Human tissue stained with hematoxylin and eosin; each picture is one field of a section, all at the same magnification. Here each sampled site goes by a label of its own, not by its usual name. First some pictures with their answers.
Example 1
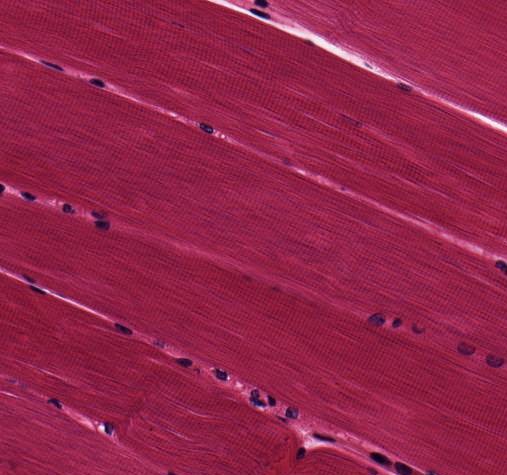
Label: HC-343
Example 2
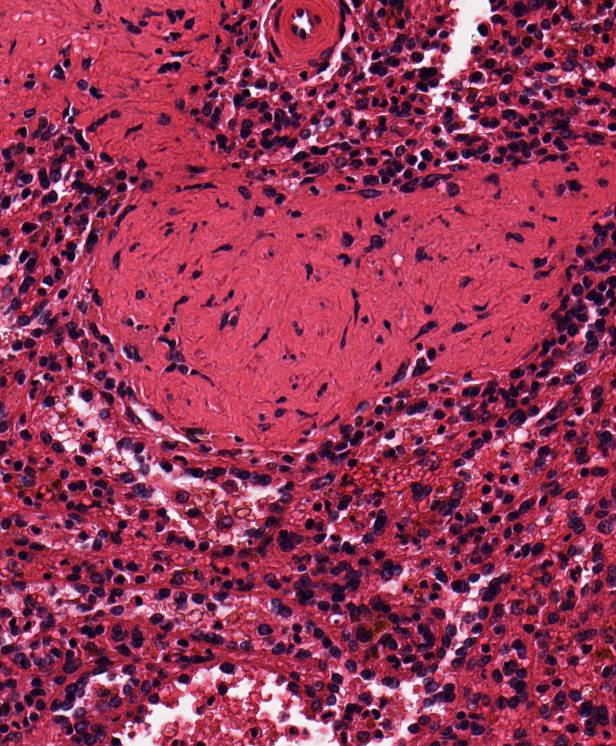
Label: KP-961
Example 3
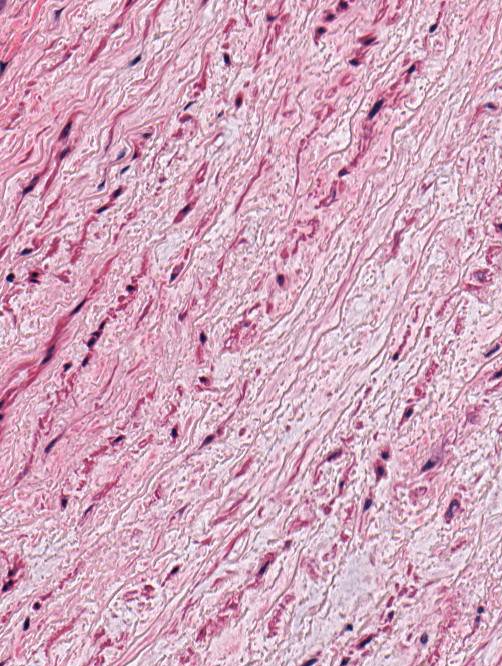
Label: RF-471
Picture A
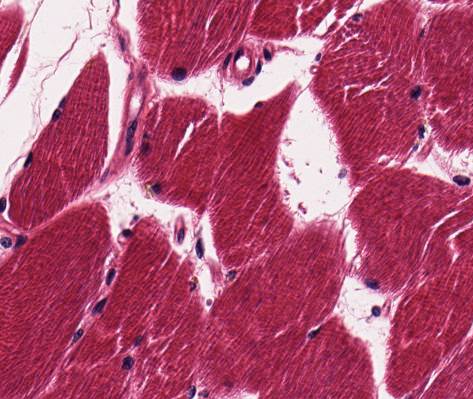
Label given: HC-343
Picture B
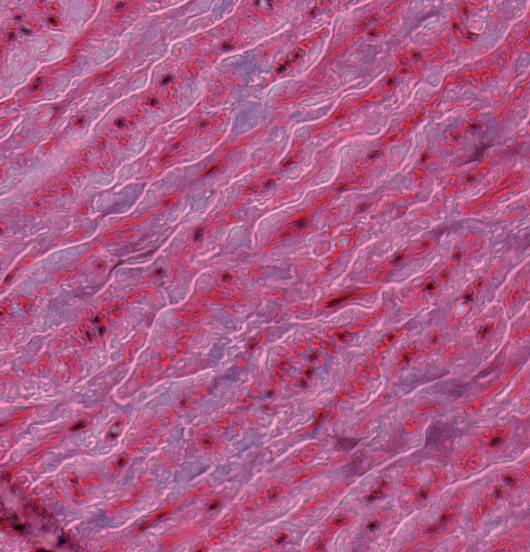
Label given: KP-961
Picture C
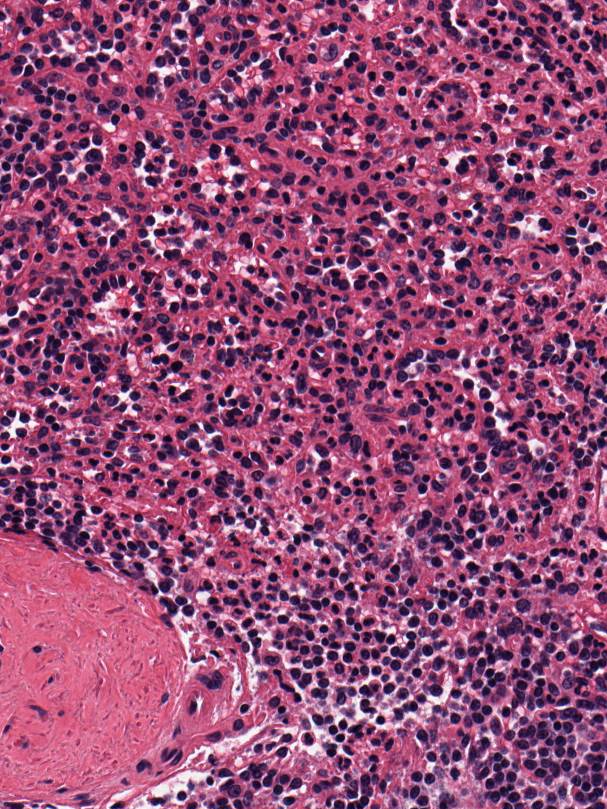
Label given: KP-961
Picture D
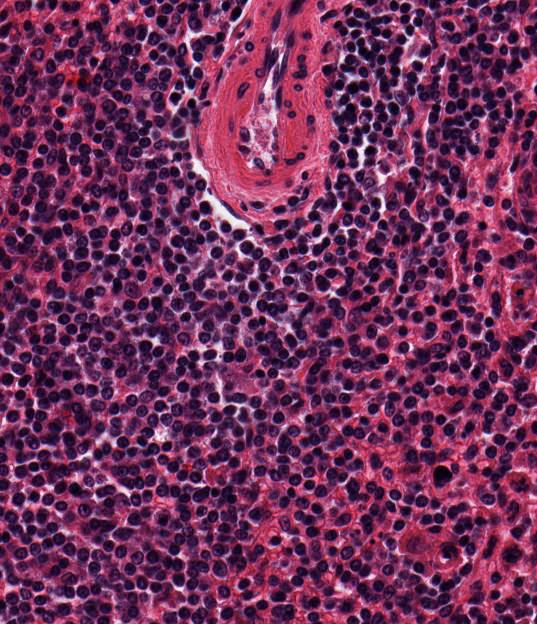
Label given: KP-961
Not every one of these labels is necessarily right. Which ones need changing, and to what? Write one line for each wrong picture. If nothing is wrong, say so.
B is labelled KP-961; correct label: RF-471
